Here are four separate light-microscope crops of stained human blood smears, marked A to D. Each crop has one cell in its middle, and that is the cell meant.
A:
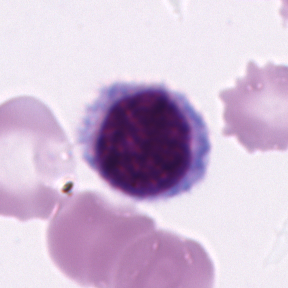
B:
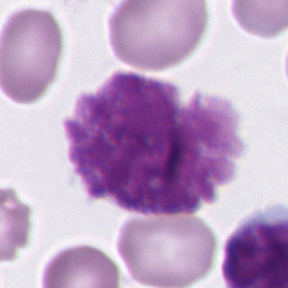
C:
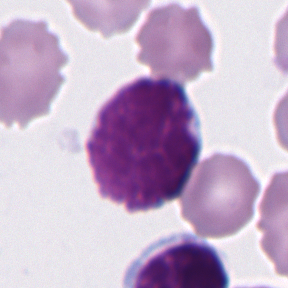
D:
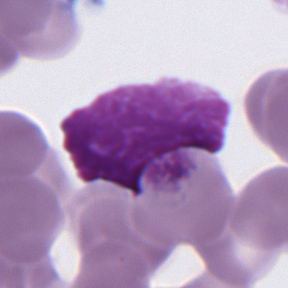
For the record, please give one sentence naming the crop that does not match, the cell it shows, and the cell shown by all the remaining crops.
The others are all smudge cells; crop A is a hairy cell.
